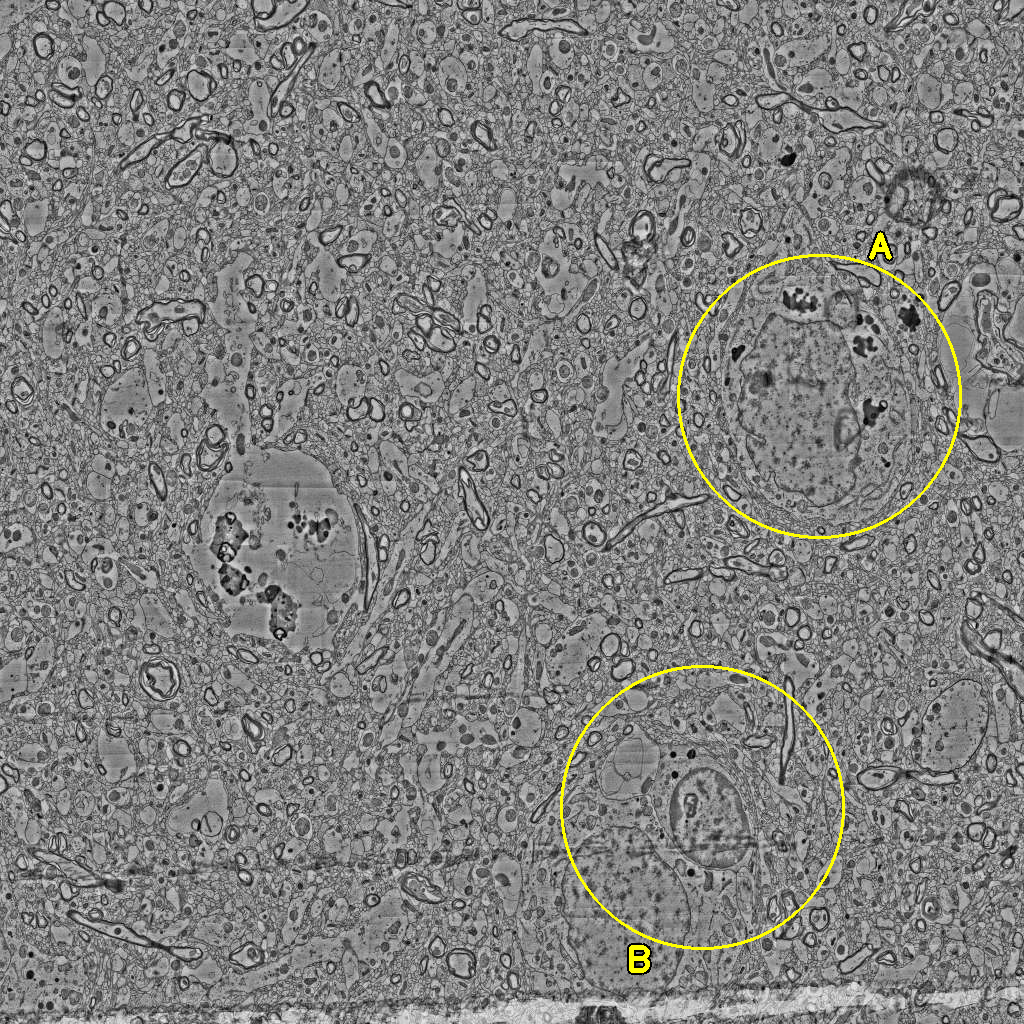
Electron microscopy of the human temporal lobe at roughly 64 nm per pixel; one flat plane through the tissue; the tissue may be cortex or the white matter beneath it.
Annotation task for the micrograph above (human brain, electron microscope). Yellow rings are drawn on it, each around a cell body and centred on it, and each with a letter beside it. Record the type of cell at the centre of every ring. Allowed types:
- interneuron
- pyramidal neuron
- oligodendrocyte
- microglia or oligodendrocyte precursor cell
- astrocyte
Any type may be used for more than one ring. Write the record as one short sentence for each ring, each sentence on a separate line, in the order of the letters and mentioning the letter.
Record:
The cell centred in ring A is an interneuron.
The cell centred in ring B is an oligodendrocyte.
